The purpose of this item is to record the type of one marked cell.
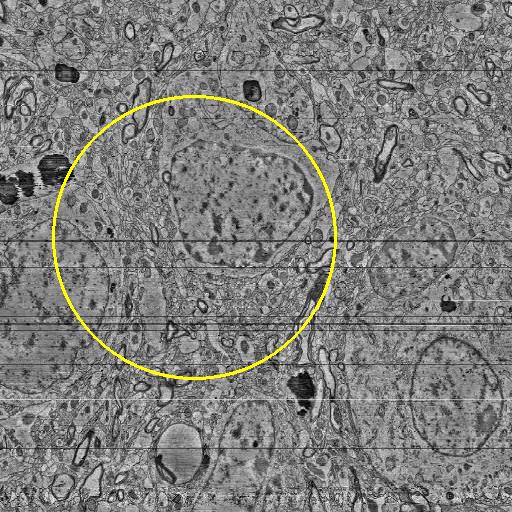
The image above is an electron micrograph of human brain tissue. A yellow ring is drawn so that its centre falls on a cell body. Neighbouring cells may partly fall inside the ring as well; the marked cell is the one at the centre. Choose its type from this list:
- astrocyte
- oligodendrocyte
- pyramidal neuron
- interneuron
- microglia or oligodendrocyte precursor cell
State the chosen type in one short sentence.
What the ring marks here is a microglial cell or oligodendrocyte precursor cell.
